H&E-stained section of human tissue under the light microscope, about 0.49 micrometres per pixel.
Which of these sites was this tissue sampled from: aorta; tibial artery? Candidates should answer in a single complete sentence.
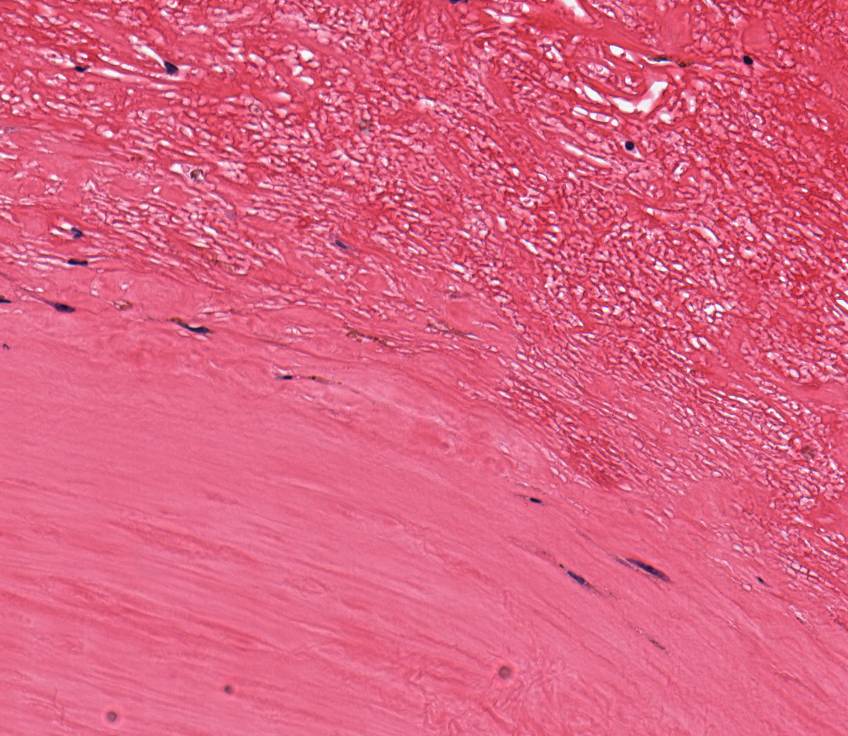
Tissue for this section was sampled from the tibial artery.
